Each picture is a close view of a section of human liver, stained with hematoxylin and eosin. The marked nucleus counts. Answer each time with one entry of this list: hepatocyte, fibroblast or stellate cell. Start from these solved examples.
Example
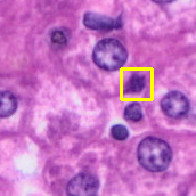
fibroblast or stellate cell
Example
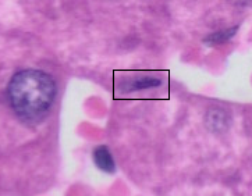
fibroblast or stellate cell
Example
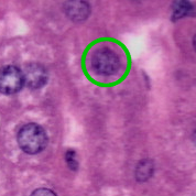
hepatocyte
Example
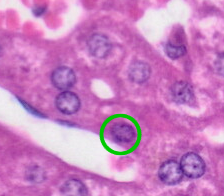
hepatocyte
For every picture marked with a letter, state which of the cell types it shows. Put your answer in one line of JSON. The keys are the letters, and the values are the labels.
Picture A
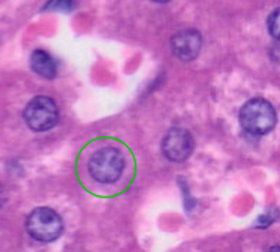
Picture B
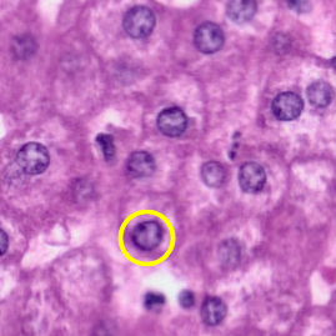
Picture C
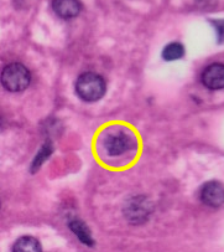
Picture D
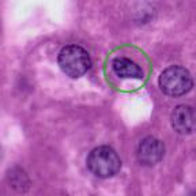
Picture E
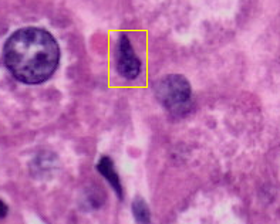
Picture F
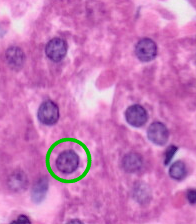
{"A": "hepatocyte", "B": "hepatocyte", "C": "fibroblast or stellate cell", "D": "fibroblast or stellate cell", "E": "fibroblast or stellate cell", "F": "hepatocyte"}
